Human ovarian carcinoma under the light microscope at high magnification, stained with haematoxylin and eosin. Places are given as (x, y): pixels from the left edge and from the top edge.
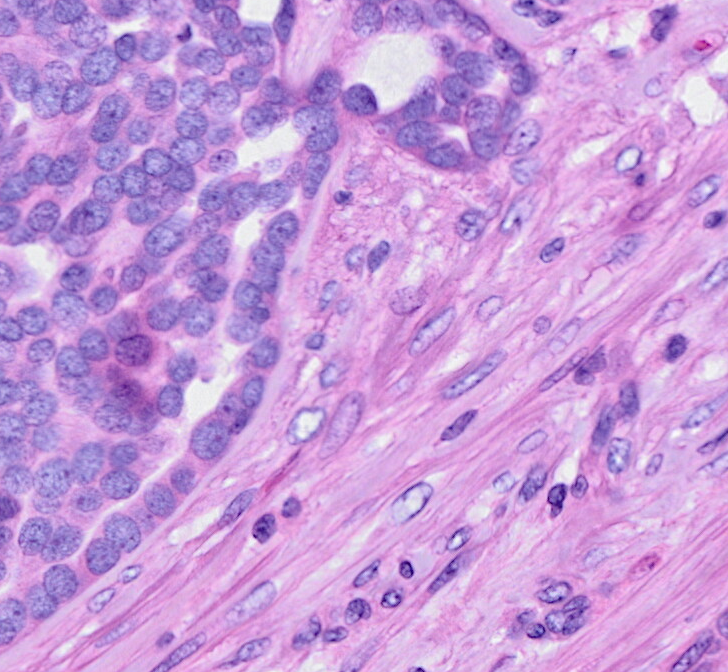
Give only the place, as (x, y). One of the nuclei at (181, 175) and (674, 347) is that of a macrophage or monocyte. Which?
(674, 347)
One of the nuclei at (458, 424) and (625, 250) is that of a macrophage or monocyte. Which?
(458, 424)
